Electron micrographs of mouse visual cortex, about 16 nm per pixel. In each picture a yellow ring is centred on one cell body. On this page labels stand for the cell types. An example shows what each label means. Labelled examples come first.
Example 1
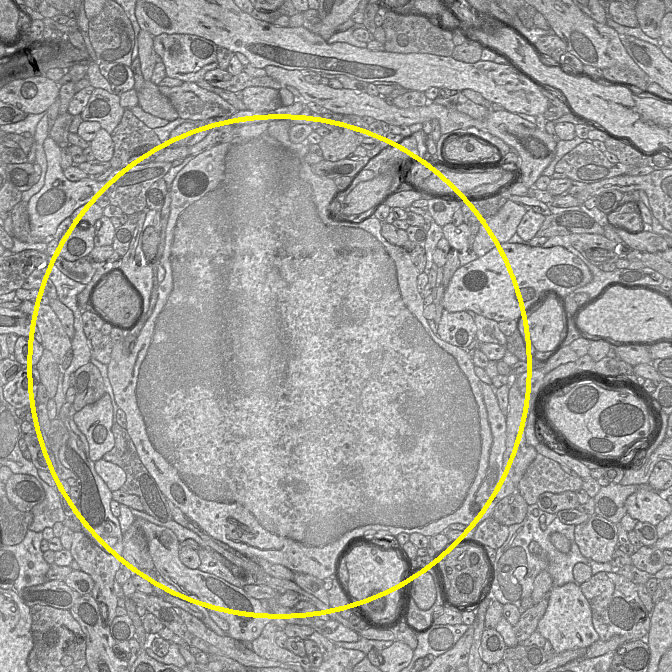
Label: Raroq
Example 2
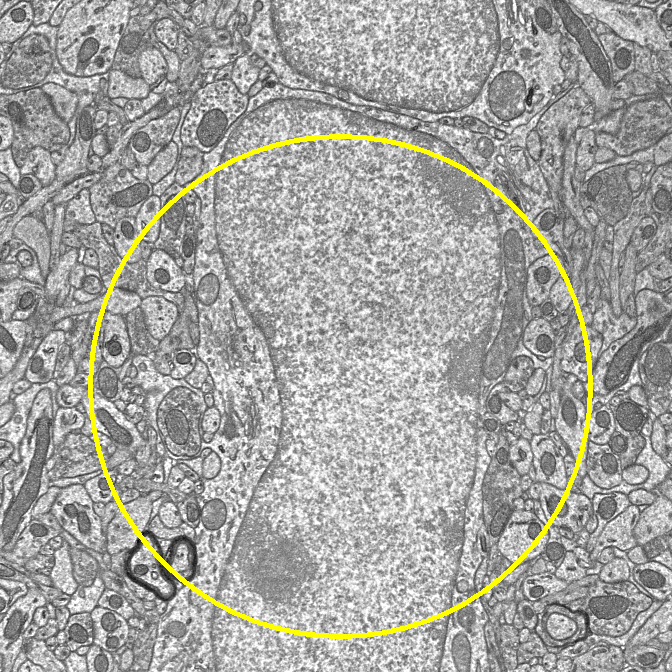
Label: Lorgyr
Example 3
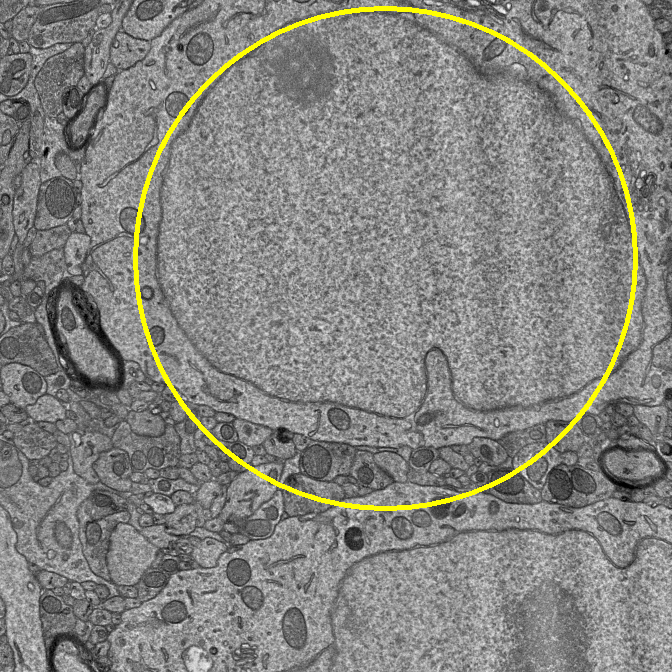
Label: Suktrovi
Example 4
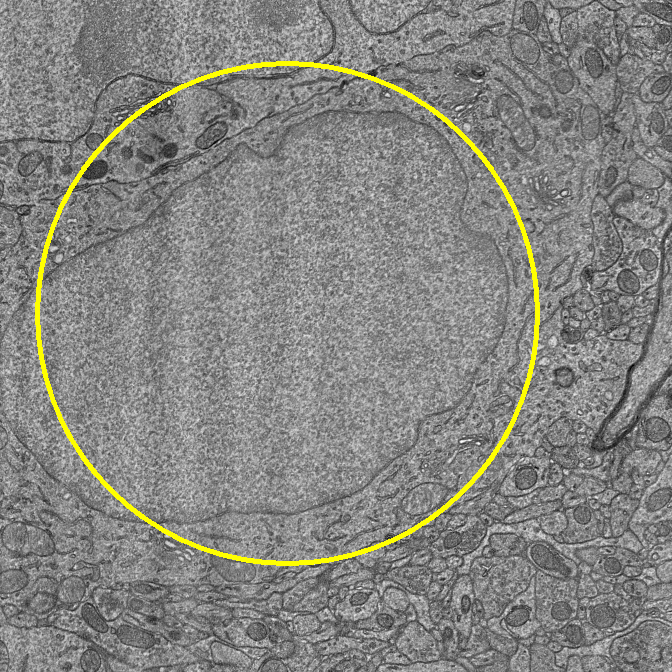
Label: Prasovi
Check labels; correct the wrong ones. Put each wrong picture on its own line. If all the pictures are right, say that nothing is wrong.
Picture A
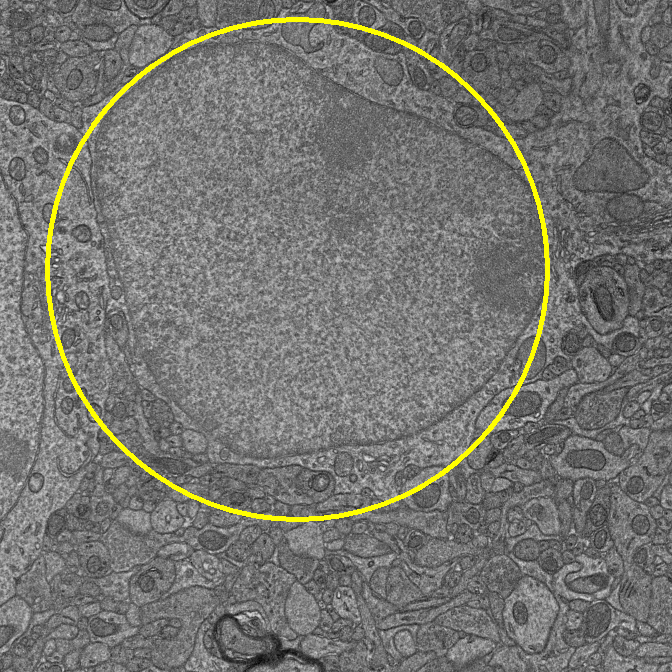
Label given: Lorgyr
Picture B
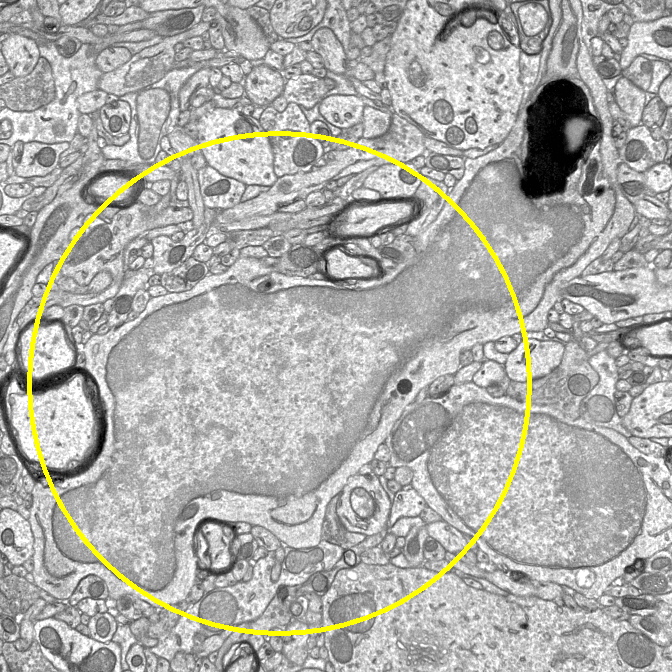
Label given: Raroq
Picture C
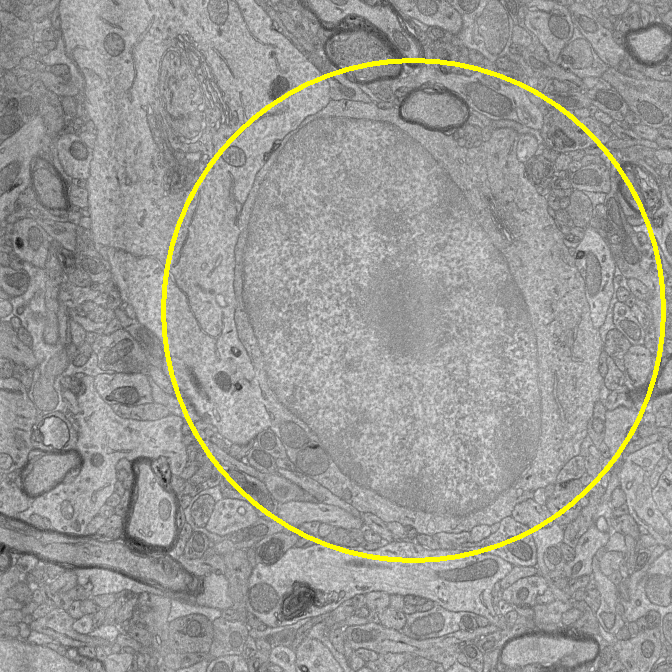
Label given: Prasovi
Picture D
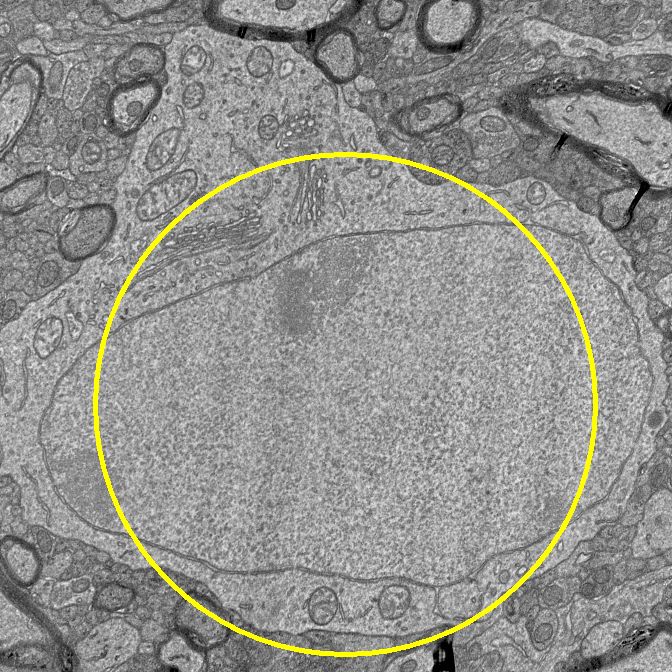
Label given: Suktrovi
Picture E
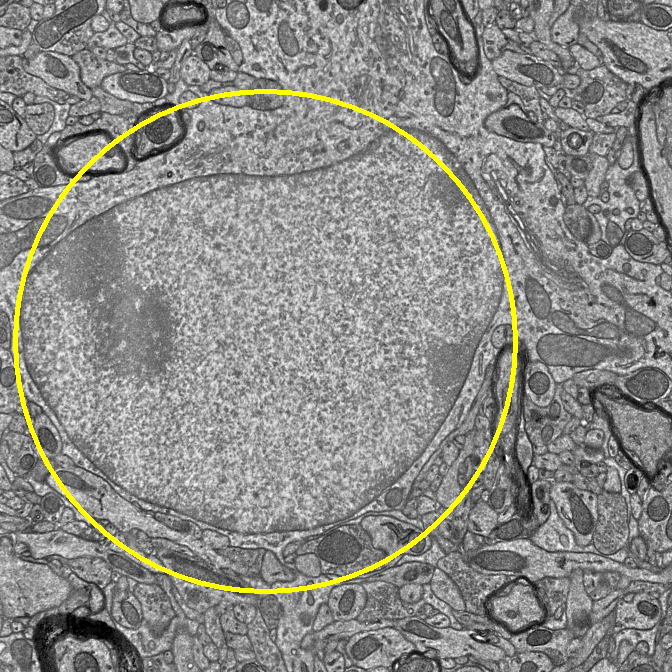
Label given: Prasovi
Wrong: E (Prasovi); correct: Lorgyr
